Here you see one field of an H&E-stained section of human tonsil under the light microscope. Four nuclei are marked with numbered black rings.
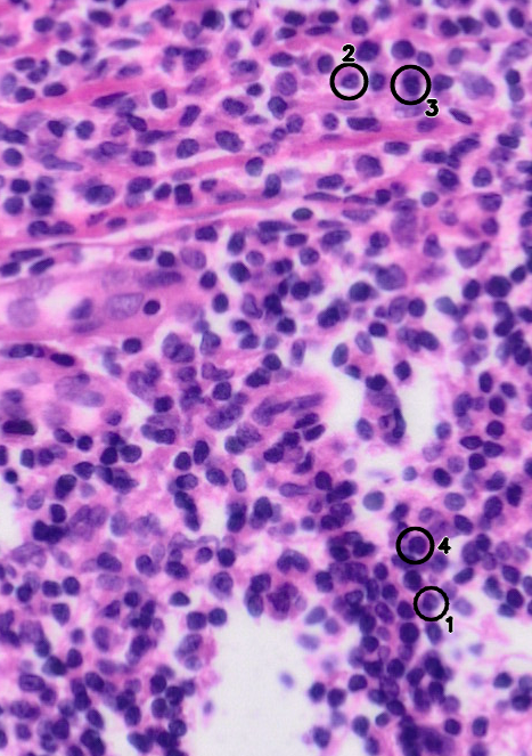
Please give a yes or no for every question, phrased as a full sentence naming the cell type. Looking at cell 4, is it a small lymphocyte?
Yes, the cell with number 4 is a small lymphocyte.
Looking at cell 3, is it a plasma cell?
Yes, the one with the number 3 is a plasma cell.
